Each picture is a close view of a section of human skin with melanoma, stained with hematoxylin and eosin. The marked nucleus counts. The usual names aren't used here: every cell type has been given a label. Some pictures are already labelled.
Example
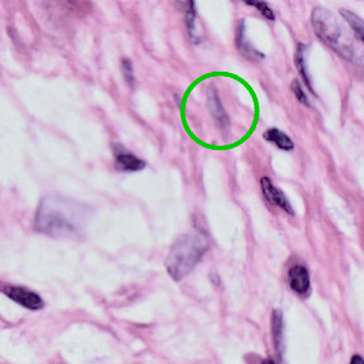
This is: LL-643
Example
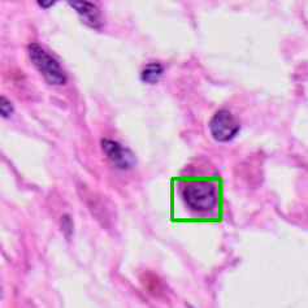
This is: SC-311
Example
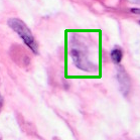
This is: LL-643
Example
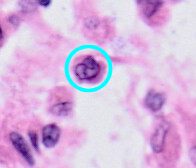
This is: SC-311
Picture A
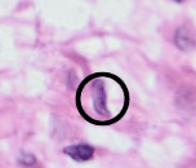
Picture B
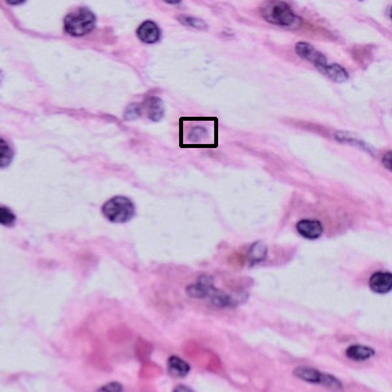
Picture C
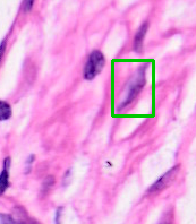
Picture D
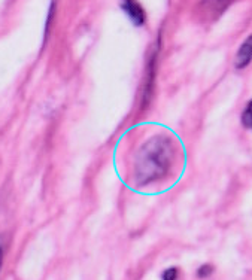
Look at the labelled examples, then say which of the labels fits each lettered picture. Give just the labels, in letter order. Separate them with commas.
LL-643, SC-311, LL-643, LL-643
